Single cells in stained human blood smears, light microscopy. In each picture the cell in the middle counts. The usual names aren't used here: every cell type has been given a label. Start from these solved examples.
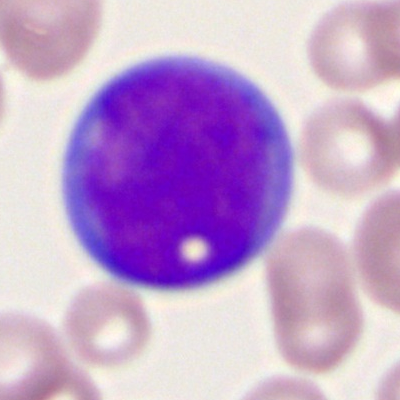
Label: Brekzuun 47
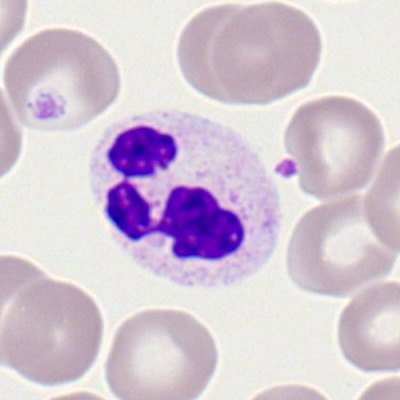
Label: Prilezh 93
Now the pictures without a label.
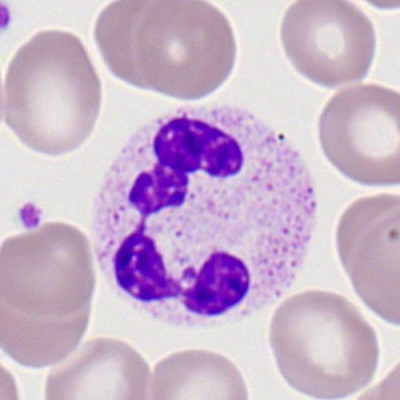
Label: Prilezh 93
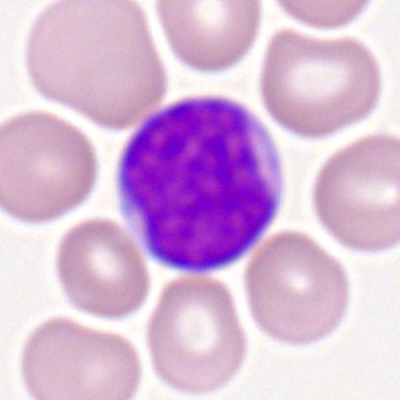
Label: Brekzuun 47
